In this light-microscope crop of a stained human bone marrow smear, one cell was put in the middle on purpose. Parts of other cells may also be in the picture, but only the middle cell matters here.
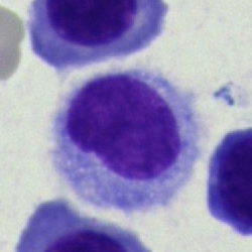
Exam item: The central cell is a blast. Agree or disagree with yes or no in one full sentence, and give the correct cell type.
No, the central cell is not a blast; it is a hairy cell.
